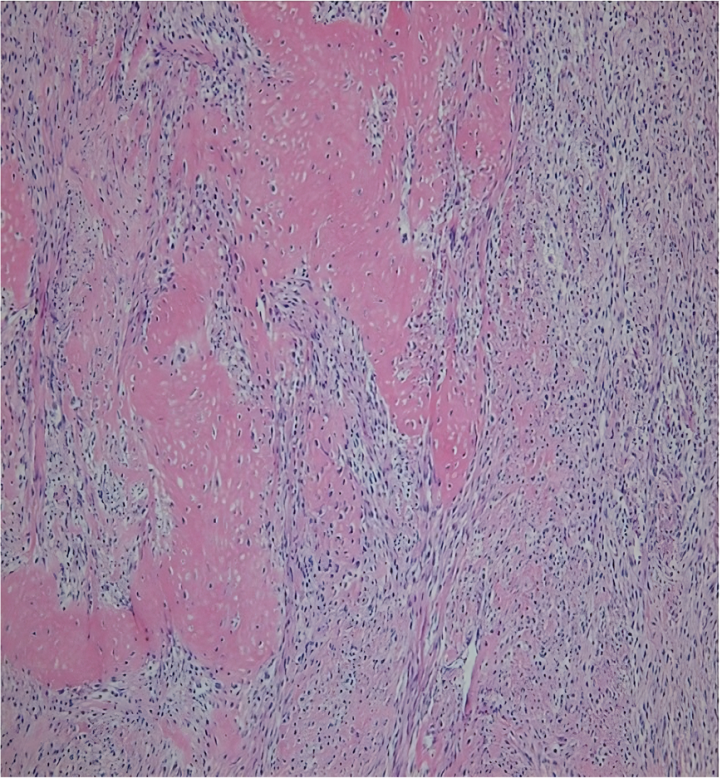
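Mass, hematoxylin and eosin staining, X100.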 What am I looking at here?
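A low-power view of a tumour in which a densely cellular area is mixed with cartilage. Irregular pink lobules of cartilage matrix with small cells in clear spaces lie among sheets and bundles of crowded spindle to oval cells with dark nuclei.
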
